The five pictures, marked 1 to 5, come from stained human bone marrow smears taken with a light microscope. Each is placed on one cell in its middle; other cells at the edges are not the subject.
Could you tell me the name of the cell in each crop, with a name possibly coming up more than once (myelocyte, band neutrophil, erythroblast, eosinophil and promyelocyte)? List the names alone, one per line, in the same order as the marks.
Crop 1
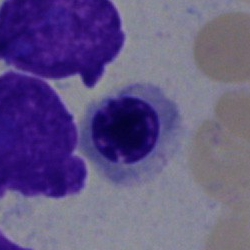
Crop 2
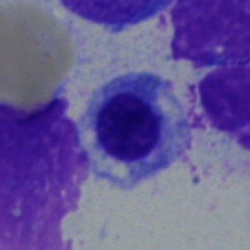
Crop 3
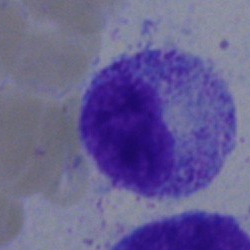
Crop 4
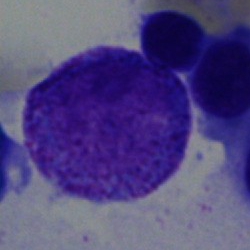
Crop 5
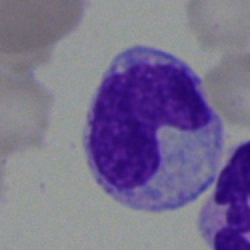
erythroblast
erythroblast
myelocyte
promyelocyte
band neutrophil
